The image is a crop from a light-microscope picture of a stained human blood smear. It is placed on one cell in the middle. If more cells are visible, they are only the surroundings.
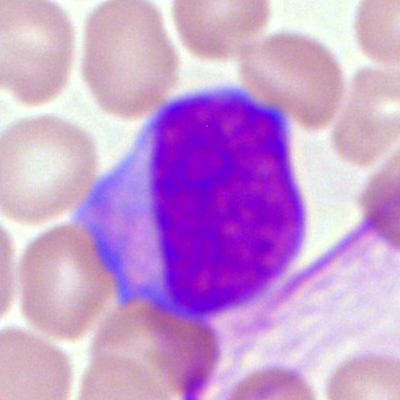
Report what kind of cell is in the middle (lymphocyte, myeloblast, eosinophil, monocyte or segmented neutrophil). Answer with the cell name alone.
myeloblast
